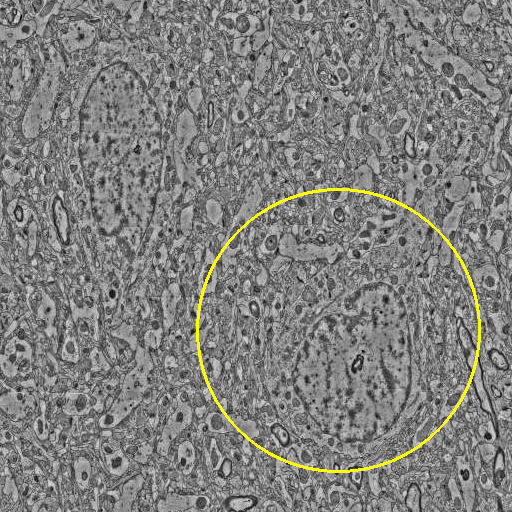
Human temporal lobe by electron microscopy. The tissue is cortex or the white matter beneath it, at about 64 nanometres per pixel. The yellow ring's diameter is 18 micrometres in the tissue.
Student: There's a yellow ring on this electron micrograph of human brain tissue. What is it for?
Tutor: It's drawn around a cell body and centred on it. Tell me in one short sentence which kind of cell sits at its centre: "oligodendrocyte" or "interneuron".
The cell at the centre of the ring is an interneuron.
